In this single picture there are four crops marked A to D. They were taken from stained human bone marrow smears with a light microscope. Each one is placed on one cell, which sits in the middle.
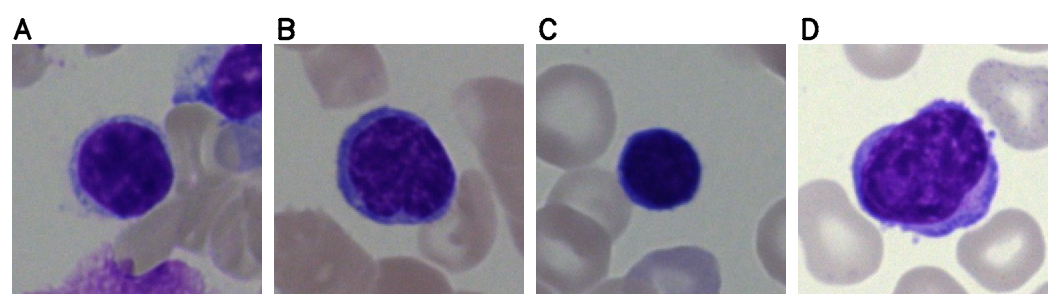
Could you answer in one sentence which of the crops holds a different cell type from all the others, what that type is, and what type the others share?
The cells centred in the other crops are all lymphocytes, but crop D is a blast.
